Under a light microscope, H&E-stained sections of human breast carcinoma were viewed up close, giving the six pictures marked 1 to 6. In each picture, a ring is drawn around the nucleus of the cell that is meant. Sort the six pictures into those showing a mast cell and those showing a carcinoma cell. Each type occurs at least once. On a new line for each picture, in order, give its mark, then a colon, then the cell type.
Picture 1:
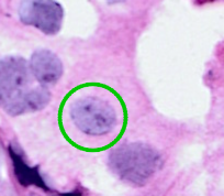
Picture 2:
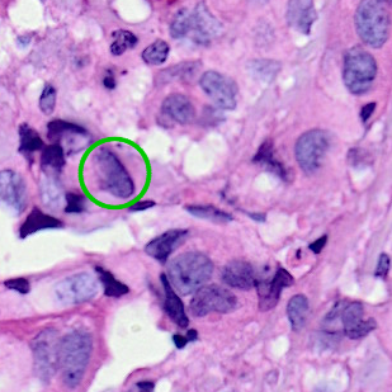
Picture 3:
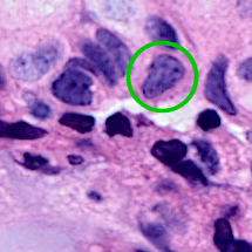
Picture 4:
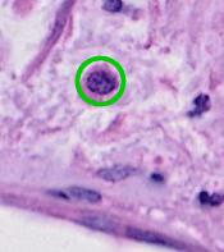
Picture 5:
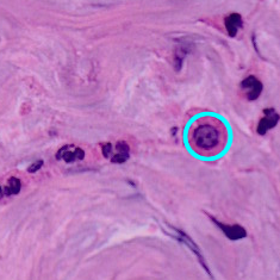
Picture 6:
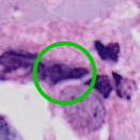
1: carcinoma cell
2: carcinoma cell
3: carcinoma cell
4: mast cell
5: mast cell
6: carcinoma cell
